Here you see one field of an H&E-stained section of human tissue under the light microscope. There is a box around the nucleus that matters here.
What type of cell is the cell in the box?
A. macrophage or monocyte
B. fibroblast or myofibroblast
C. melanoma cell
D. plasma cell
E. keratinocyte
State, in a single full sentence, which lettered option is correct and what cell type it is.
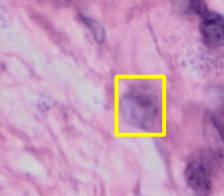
In keeping with option B, the cell in the box is a fibroblast or myofibroblast.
